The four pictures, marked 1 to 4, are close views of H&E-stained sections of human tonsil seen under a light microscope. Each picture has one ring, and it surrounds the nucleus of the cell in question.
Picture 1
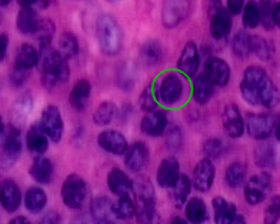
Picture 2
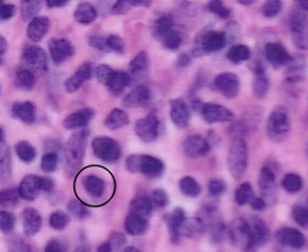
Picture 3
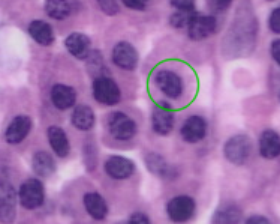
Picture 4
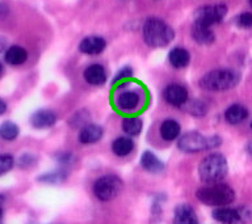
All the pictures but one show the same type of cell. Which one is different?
2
